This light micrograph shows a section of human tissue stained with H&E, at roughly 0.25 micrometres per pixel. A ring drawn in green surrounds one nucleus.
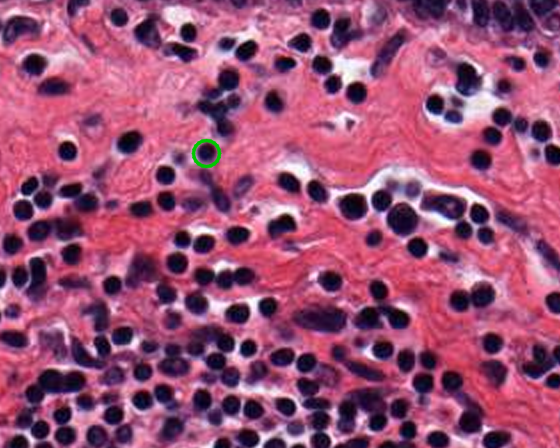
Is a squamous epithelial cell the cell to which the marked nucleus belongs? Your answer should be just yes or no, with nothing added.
no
